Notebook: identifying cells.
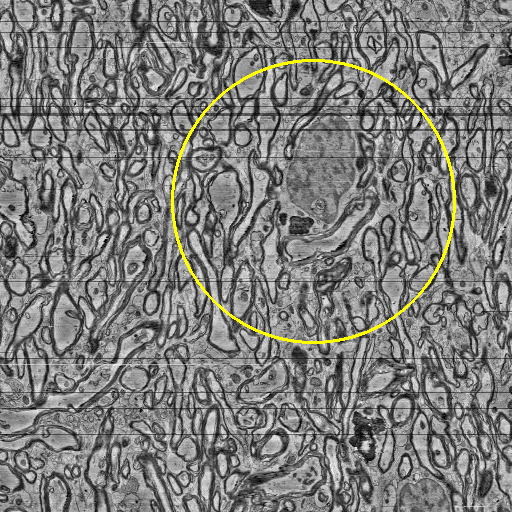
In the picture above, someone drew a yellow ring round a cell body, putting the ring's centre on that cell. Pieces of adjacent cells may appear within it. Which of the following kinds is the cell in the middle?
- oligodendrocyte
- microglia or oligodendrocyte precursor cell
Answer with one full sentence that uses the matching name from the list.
In this picture, the yellow ring is centred on the body of an oligodendrocyte.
